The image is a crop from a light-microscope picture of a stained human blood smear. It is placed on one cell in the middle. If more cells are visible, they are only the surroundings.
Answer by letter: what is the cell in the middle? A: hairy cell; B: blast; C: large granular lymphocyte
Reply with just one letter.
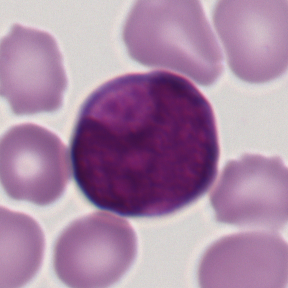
B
